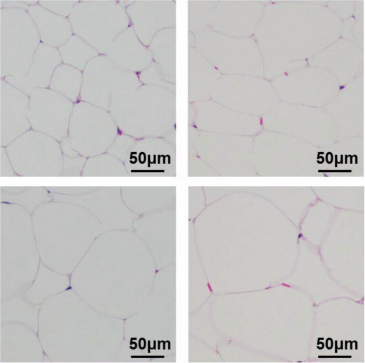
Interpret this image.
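Four fields of white adipose tissue, packed with large rounded to polygonal fat cells. Each cell looks empty and pale grey inside, its content washed out in processing, bounded only by a thin pink rim. The few nuclei are small, dark purple and flattened, pressed against the cell edge where neighbouring cells meet. There is very little tissue between the cells, only these fine septa. The cells differ in size between the fields: those in the lower fields are clearly larger, with only a few fitting in the frame, and those on the right look larger than those on the left.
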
